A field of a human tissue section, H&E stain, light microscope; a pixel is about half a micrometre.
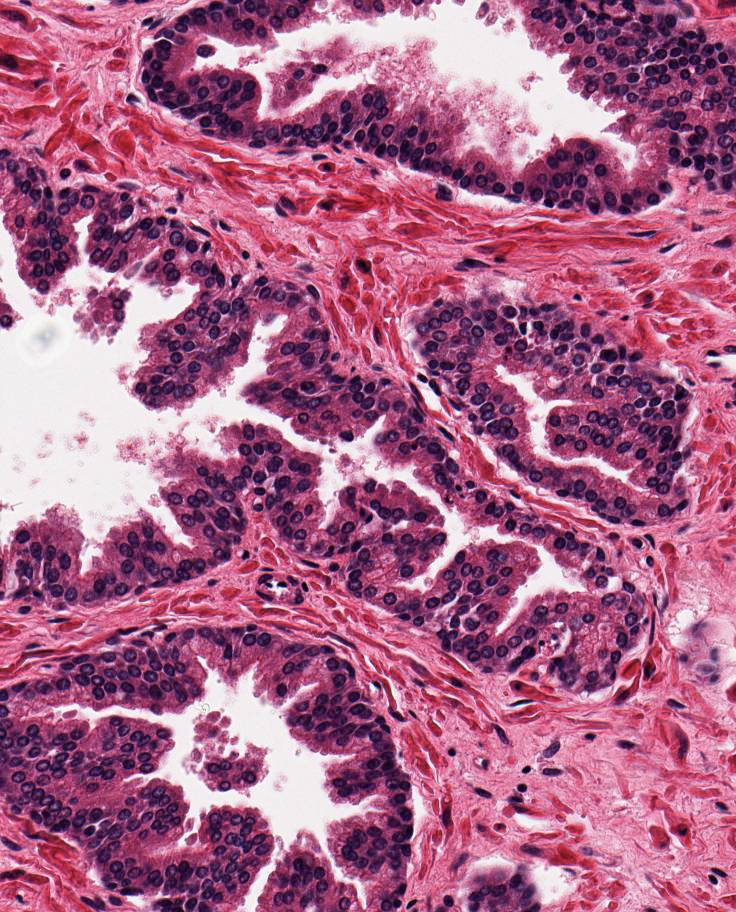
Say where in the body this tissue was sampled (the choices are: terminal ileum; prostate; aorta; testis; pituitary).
prostate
